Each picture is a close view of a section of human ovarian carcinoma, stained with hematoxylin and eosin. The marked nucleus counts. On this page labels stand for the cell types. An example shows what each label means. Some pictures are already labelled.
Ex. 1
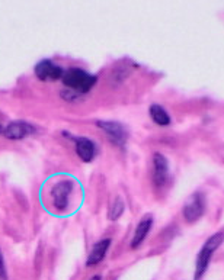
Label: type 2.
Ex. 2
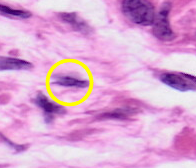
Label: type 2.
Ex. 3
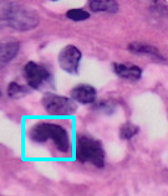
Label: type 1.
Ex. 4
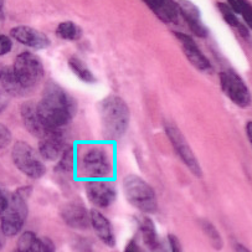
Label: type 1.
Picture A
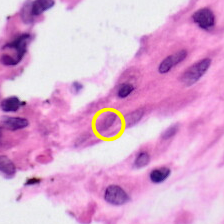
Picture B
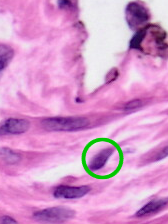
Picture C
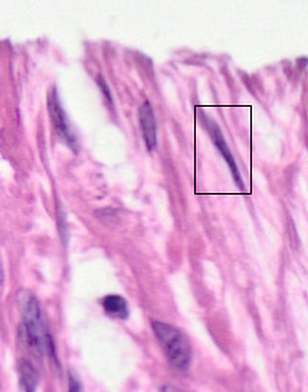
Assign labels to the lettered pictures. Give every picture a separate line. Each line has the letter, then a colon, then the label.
A: type 2.
B: type 2.
C: type 2.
